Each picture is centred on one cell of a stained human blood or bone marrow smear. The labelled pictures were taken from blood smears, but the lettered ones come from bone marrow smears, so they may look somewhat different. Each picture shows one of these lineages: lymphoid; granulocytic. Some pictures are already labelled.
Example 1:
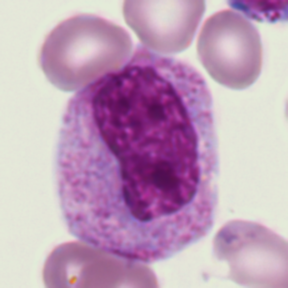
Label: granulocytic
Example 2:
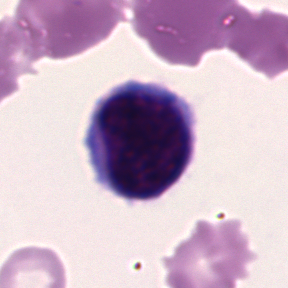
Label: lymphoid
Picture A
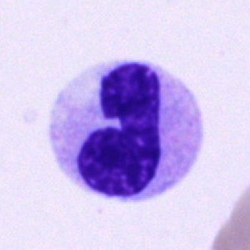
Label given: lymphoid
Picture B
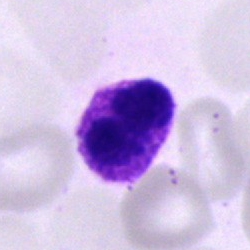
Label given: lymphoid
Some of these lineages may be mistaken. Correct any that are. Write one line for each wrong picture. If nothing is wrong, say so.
Wrong: A (lymphoid); correct: granulocytic
Wrong: B (lymphoid); correct: granulocytic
